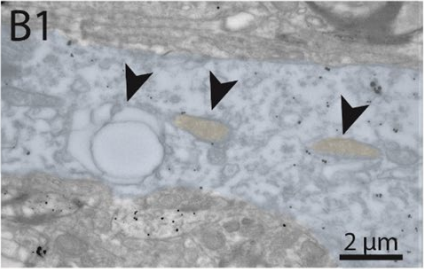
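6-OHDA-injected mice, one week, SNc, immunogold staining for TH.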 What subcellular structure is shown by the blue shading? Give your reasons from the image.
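A large blue-shaded cell process spanning the panel. It contains organelles and a large round pale vacuole. The answer: dendrite.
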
